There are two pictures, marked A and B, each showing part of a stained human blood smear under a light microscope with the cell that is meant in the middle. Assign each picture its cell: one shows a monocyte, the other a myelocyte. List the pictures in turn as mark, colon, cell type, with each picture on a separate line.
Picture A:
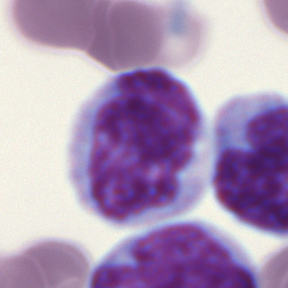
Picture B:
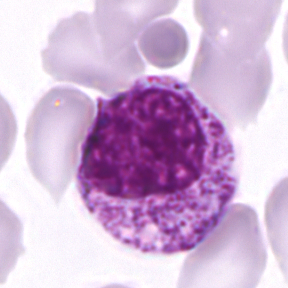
A: monocyte
B: myelocyte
